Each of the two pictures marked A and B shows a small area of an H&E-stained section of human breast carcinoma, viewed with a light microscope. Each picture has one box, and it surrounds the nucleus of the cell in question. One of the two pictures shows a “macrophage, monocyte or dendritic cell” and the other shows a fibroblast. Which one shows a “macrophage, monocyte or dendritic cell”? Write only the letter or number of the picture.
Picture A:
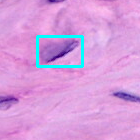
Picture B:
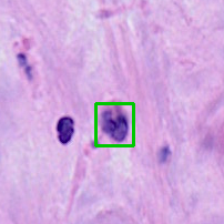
B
